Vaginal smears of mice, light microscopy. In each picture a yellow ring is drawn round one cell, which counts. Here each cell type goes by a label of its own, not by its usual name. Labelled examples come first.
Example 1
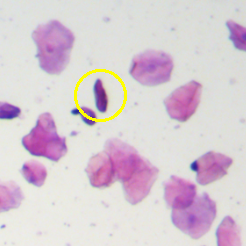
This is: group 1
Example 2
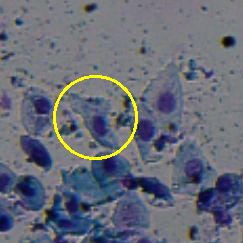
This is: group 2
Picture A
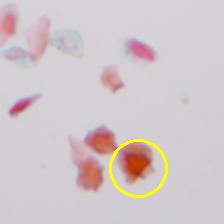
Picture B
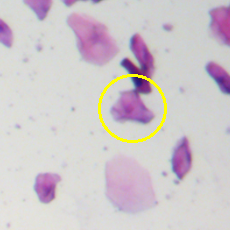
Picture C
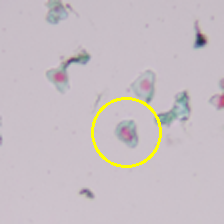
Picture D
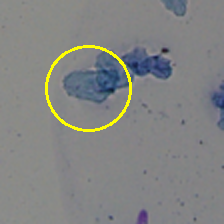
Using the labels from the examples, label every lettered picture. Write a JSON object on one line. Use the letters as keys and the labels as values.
{"A": "group 1", "B": "group 1", "C": "group 2", "D": "group 1"}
